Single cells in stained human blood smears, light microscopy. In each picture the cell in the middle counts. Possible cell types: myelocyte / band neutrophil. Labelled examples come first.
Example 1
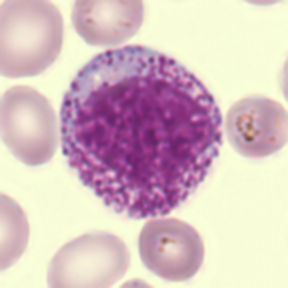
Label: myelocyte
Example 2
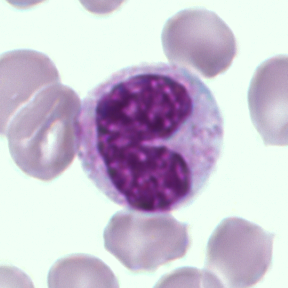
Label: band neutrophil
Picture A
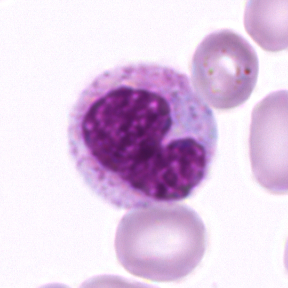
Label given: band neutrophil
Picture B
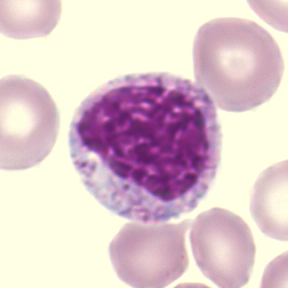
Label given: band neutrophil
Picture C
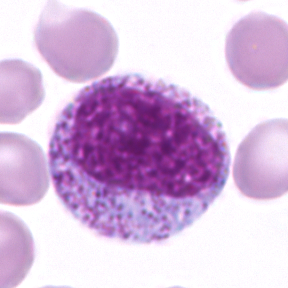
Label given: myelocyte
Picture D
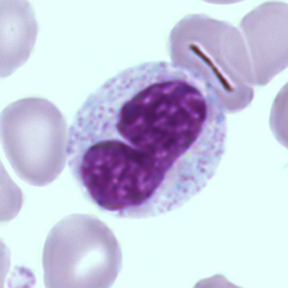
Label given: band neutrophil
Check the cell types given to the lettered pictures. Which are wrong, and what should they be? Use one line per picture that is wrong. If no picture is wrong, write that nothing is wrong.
Wrong: B (band neutrophil); correct: myelocyte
